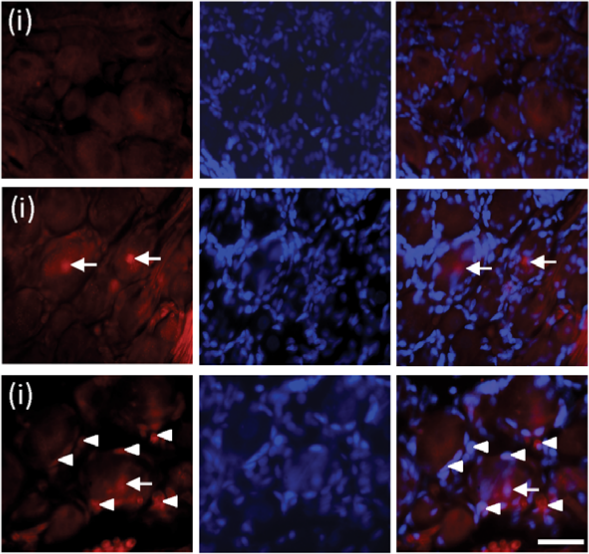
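Ganglion sections in a three-by-three grid show large round neuronal cell bodies packed among many small satellite cell nuclei. In the red channel the large somata appear as faintly red, rounded profiles with darker boundaries between them. The blue channel shows many small oval nuclei crowded in the spaces between and around the large somata, while the large cell bodies themselves are mostly not blue. In the top row no distinct bright red nuclei are seen. In the middle row, arrows point to bright red spots lying within large somata. In the bottom row, arrowheads mark several small bright red dots at the edges of somata, beside one arrowed spot within a soma.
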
